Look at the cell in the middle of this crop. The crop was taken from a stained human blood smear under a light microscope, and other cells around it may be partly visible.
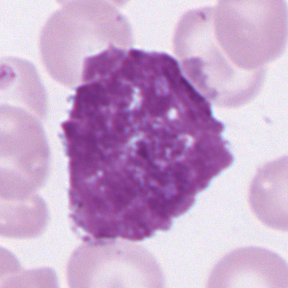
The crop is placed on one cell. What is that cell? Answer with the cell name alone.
smudge cell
